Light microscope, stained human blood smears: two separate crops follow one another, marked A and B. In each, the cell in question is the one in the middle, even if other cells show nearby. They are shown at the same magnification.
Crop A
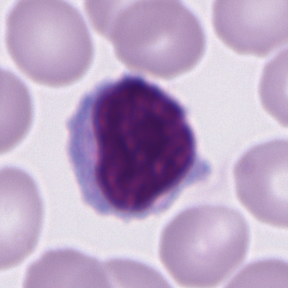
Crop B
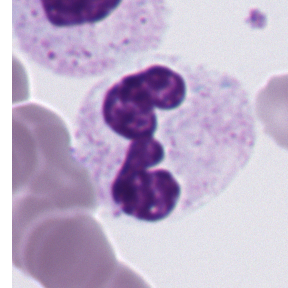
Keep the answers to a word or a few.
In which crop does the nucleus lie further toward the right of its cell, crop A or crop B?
A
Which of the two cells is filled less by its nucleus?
B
